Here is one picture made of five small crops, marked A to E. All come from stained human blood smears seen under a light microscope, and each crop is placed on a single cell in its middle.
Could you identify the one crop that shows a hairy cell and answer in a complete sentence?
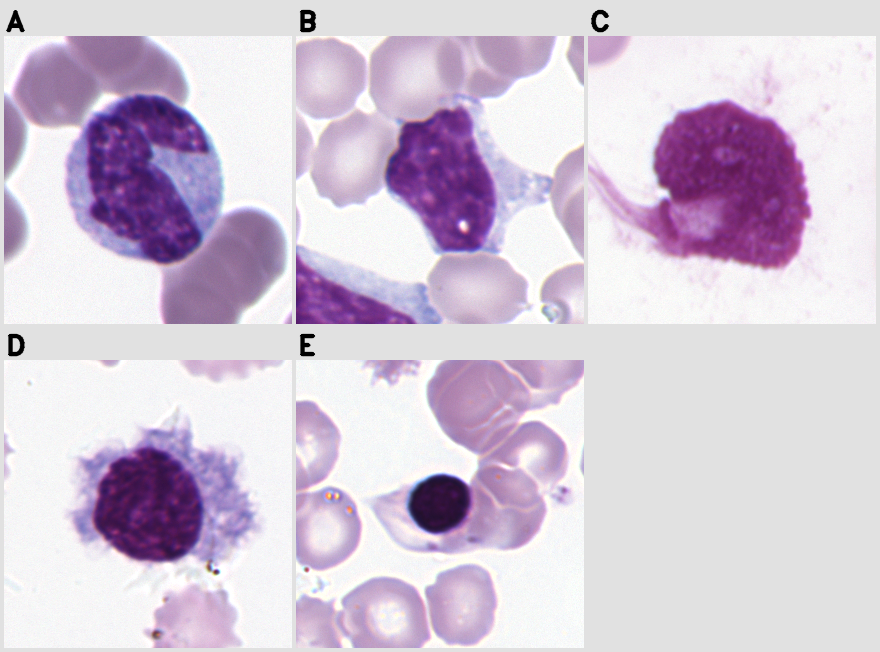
The crop carrying a hairy cell at the center is crop D.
